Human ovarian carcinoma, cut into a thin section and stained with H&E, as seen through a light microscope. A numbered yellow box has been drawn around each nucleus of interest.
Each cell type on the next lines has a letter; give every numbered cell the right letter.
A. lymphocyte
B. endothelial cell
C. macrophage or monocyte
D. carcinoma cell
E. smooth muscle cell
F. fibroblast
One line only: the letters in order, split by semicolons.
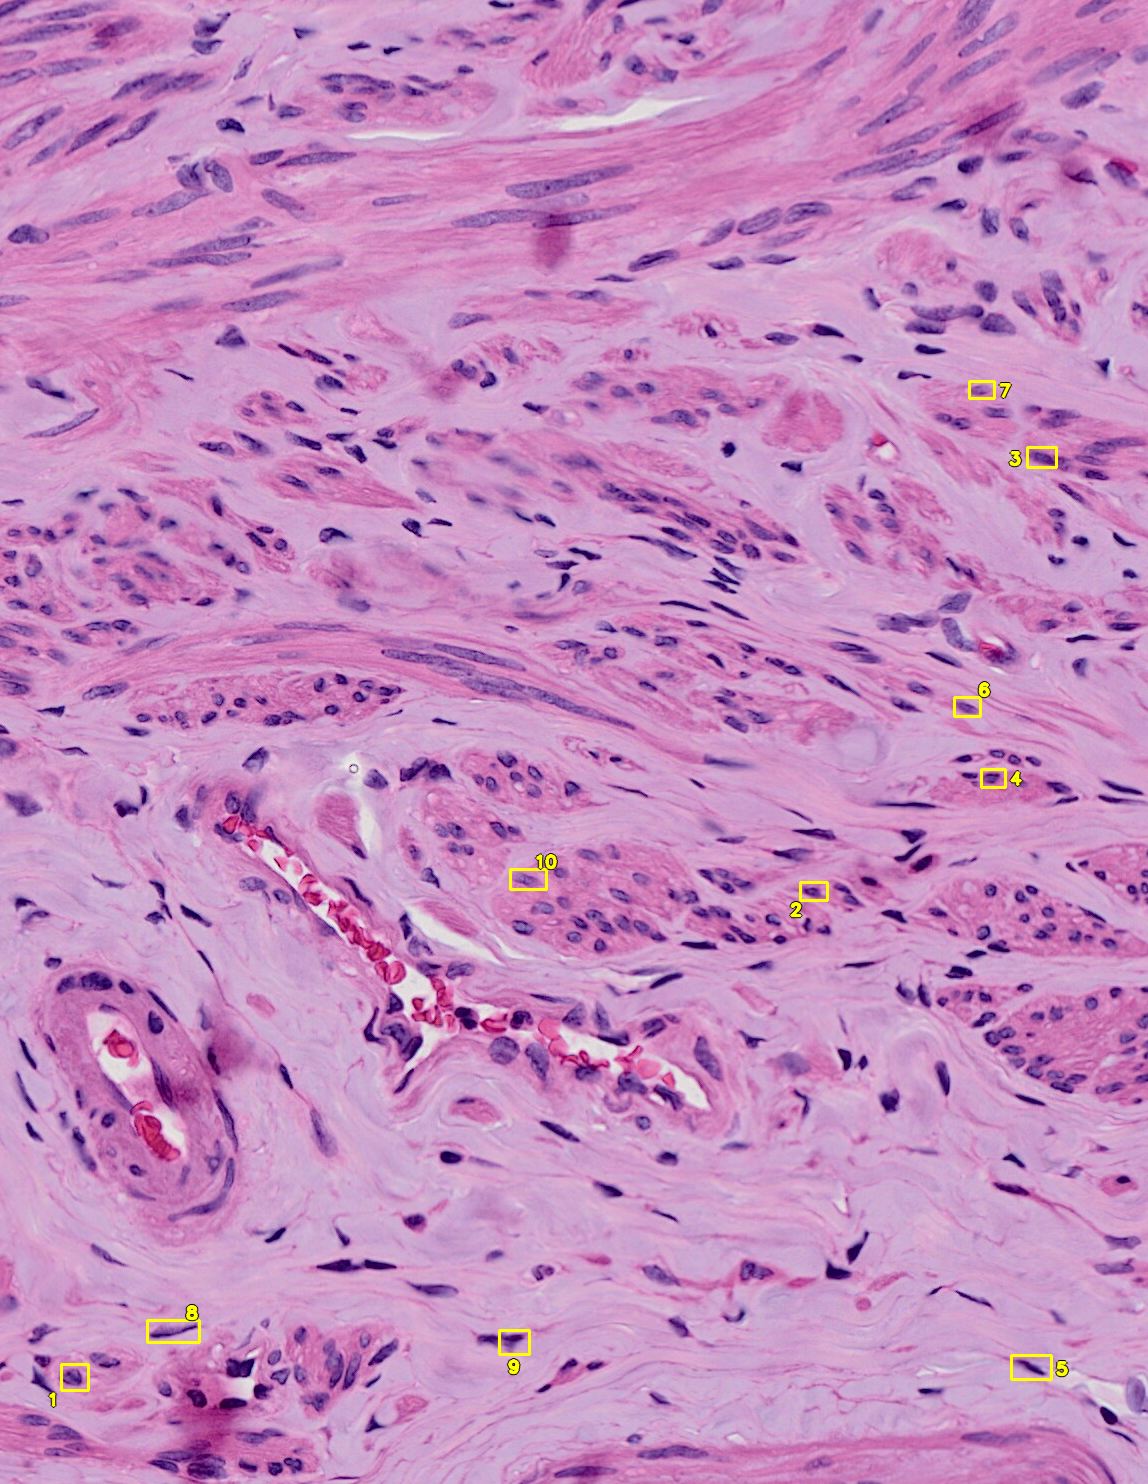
B; E; E; E; F; E; E; F; F; E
